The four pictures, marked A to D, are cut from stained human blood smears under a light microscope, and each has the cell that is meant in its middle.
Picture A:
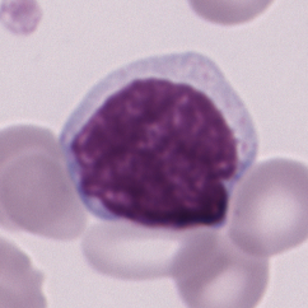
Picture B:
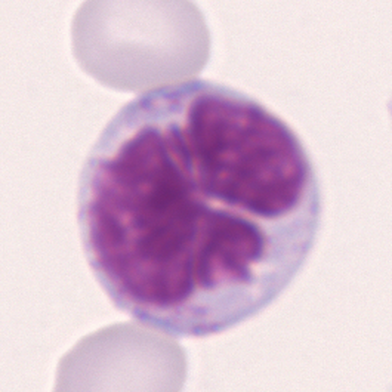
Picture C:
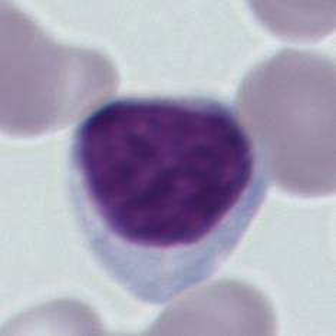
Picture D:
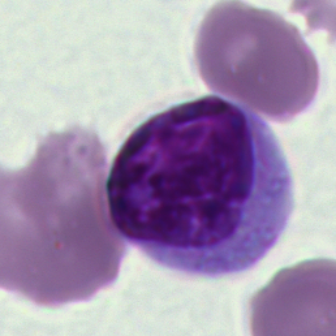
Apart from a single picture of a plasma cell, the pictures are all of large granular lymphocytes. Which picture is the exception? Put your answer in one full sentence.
It is picture D that shows the plasma cell.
